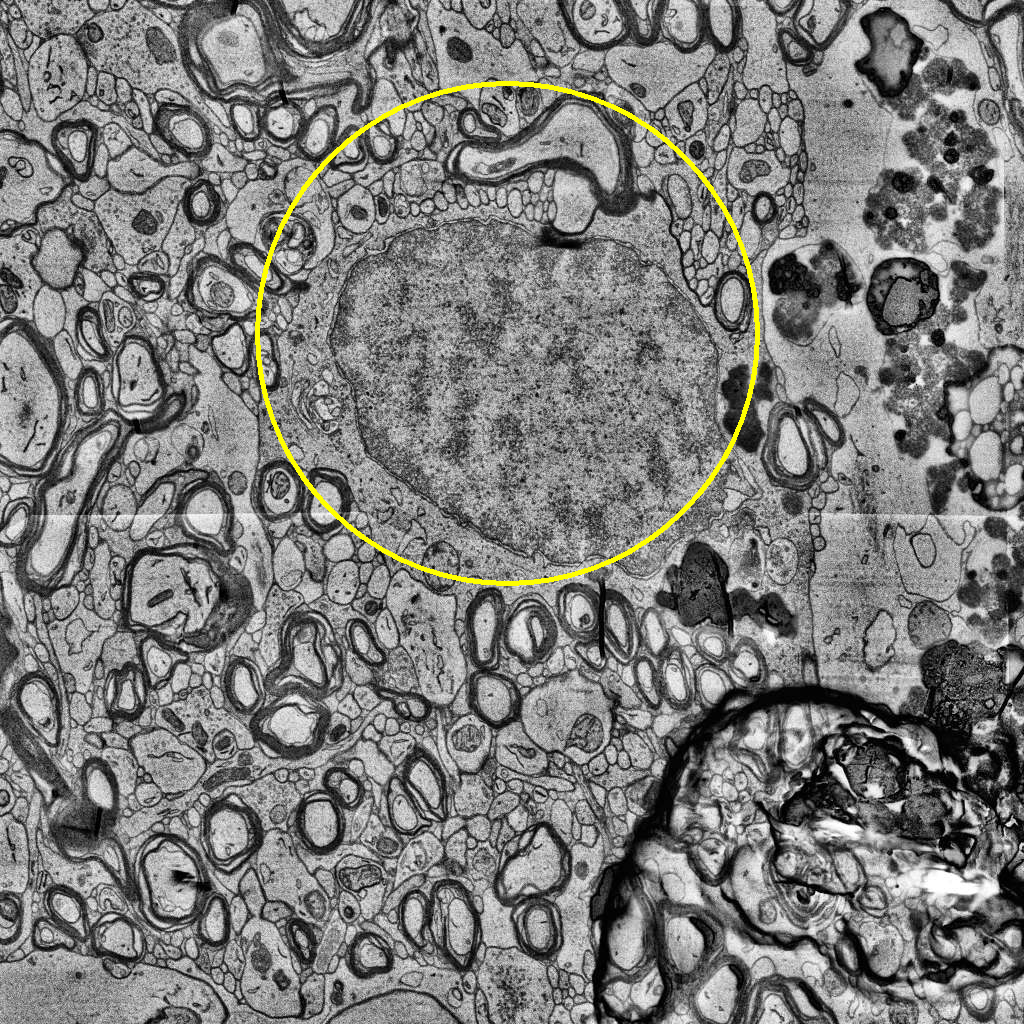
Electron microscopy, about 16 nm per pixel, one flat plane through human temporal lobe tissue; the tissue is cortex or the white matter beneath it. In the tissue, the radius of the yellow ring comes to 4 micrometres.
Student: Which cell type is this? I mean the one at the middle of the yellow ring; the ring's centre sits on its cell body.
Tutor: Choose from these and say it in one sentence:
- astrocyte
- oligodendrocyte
The cell at the ring's centre is an oligodendrocyte.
